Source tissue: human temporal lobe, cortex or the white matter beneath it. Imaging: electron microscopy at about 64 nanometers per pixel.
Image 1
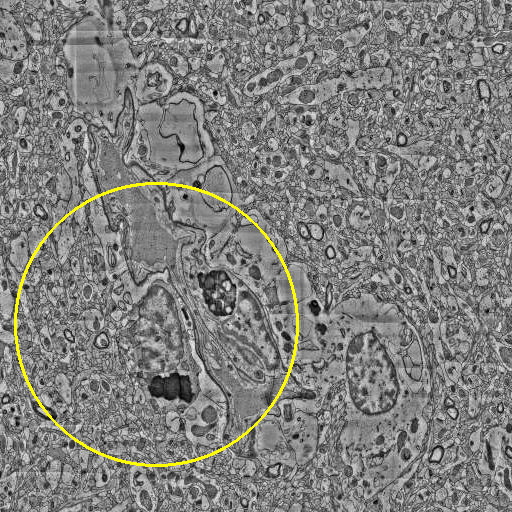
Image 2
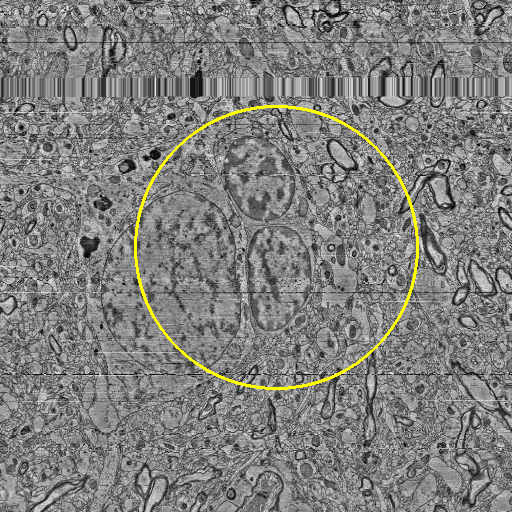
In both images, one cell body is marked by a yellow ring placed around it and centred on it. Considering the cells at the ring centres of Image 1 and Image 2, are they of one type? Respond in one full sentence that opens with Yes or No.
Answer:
Yes, a single type applies to the ring-centred cells of both Image 1 and Image 2.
